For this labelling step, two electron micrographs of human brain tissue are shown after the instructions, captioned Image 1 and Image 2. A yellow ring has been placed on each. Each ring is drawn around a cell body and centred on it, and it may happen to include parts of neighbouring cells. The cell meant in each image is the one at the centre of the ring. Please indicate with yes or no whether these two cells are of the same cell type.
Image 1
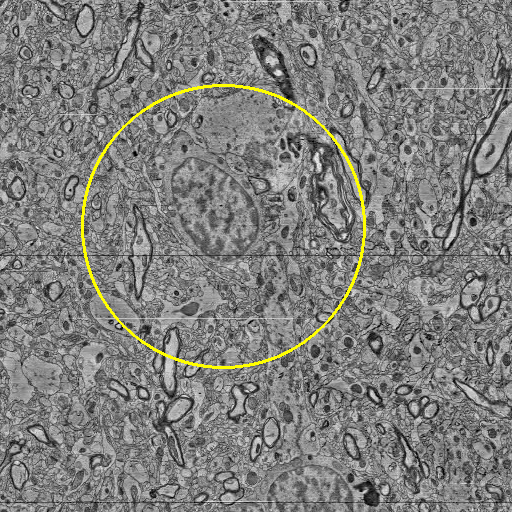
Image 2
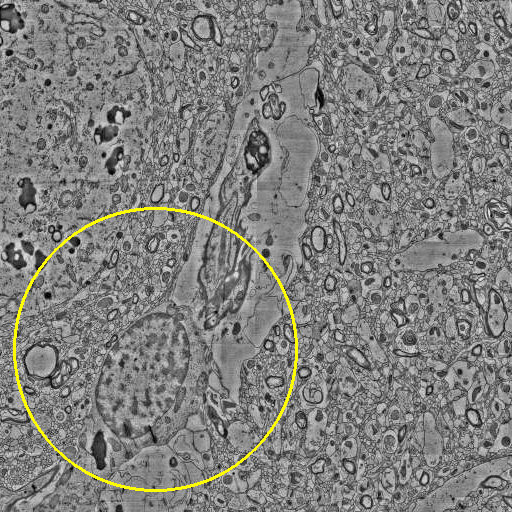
yes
